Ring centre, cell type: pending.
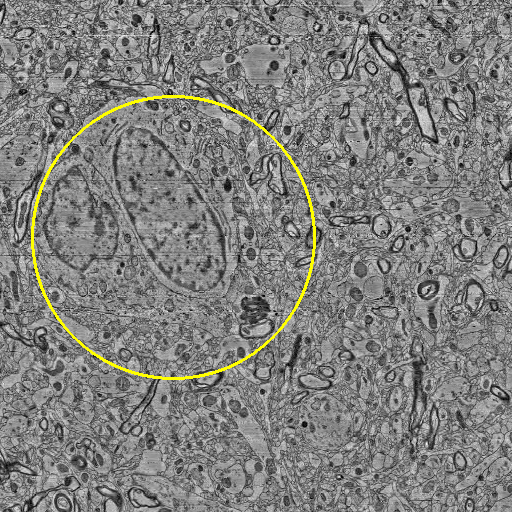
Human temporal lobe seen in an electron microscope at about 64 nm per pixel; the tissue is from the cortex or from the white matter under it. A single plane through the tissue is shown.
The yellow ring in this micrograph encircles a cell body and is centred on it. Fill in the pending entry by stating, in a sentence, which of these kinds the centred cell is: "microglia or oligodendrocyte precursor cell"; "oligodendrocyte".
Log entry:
The centred cell is recorded as a microglial cell or oligodendrocyte precursor cell.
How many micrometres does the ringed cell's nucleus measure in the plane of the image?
Clearly longer than it is wide in this plane, the nucleus measures roughly 12 by 5 micrometres.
